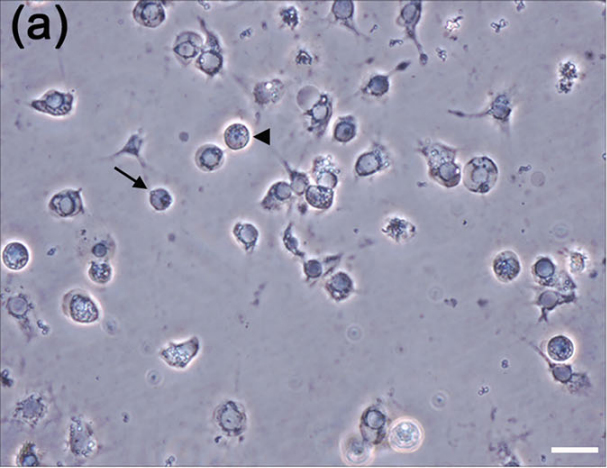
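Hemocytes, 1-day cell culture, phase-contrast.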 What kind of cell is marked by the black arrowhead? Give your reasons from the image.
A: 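The marked cell is round with a bright halo and a grainy-looking interior. So: granulocytes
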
